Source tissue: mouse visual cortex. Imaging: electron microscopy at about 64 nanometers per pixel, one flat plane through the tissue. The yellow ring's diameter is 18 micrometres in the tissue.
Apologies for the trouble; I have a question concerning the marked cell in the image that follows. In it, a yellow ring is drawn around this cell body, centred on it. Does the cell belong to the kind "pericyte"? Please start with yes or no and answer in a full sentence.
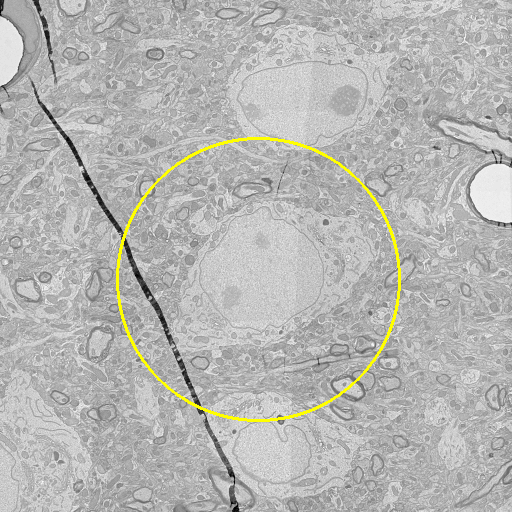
No, the ringed cell in the picture is of a different kind.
